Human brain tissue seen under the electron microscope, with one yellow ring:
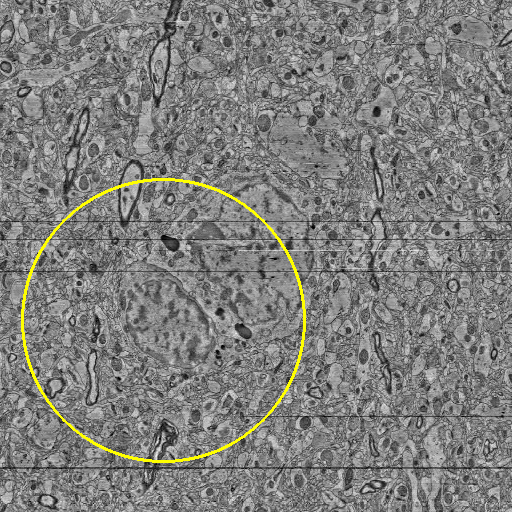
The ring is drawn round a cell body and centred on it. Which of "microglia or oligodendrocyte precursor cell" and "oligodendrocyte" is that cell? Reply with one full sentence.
The picture shows an oligodendrocyte at the very centre of the yellow ring.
